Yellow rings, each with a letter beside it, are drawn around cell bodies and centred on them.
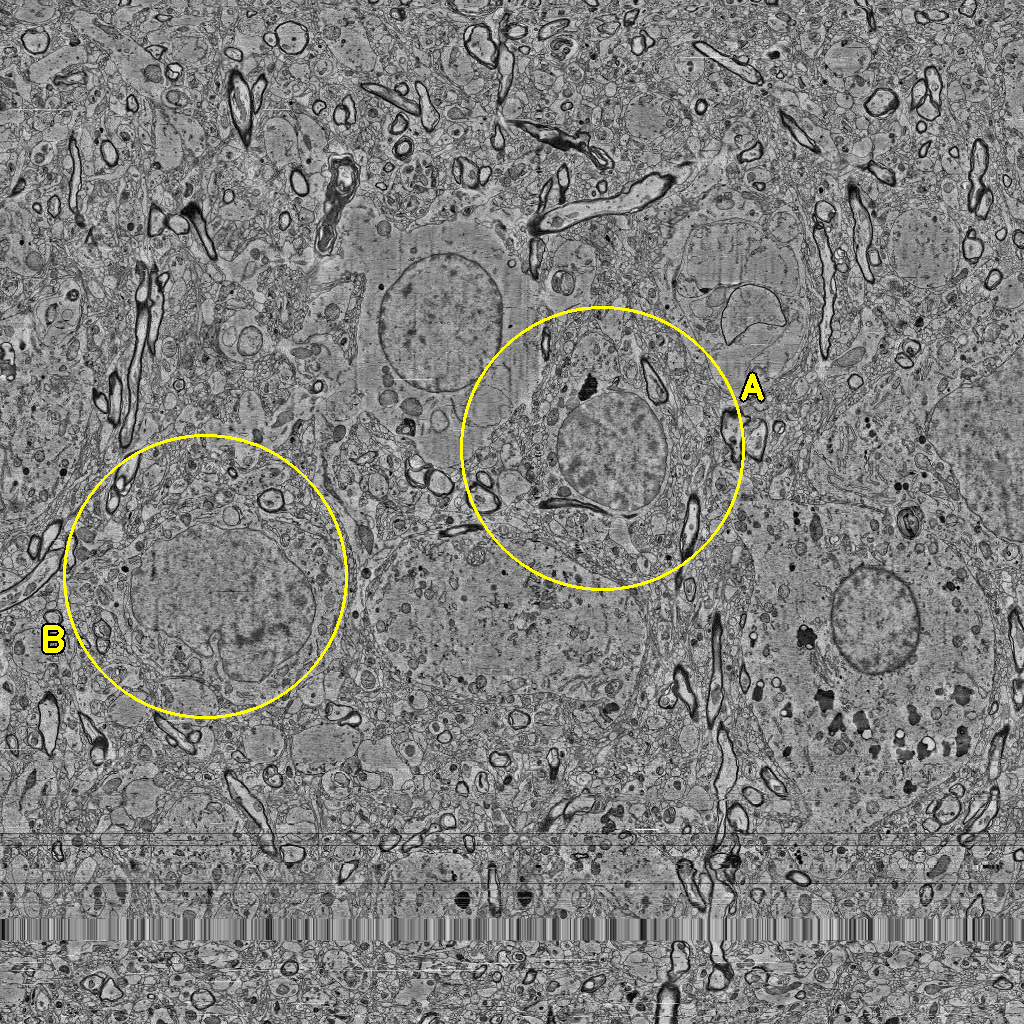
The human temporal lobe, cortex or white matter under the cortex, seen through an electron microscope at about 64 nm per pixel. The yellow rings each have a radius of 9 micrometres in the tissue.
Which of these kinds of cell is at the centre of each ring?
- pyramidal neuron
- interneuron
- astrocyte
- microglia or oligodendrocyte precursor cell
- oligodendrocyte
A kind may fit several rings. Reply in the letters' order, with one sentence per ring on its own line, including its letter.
The cell in the middle of ring A is an oligodendrocyte.
The cell in the middle of ring B is an interneuron.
